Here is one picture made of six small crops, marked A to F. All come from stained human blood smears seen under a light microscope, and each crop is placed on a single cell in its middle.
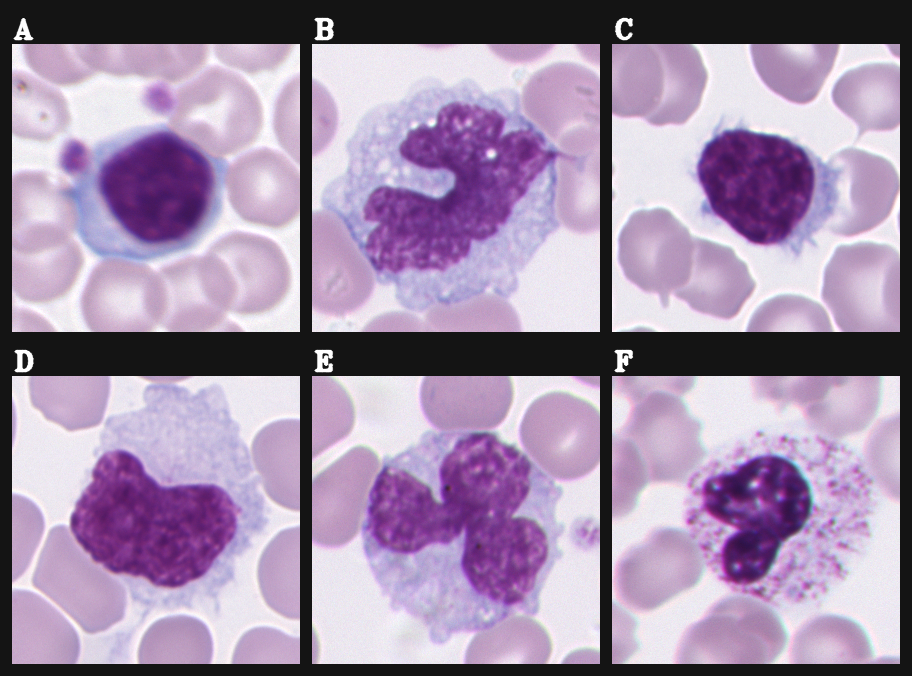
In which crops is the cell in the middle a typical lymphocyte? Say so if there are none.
A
